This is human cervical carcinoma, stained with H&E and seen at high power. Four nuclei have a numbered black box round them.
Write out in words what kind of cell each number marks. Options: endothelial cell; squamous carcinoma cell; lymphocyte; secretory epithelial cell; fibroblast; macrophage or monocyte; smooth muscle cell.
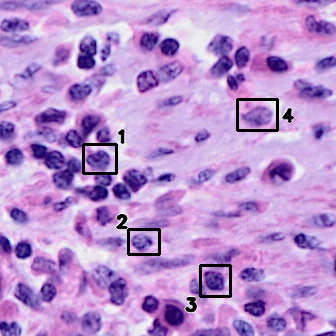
Cell 1 is a lymphocyte, cell 2 is a lymphocyte, cell 3 is a lymphocyte and cell 4 is a macrophage or monocyte.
